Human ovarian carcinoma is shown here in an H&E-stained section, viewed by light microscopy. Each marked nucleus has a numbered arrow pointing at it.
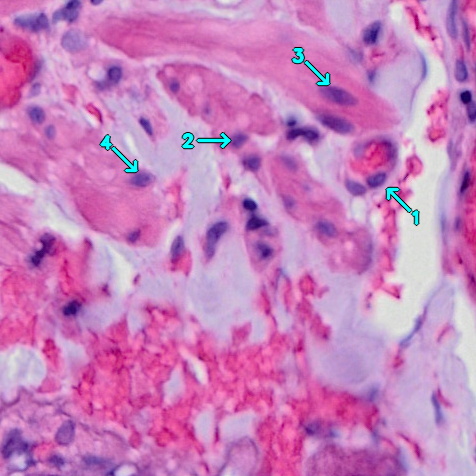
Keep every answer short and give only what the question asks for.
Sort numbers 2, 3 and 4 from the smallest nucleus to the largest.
2, 4, 3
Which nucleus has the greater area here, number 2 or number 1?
1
